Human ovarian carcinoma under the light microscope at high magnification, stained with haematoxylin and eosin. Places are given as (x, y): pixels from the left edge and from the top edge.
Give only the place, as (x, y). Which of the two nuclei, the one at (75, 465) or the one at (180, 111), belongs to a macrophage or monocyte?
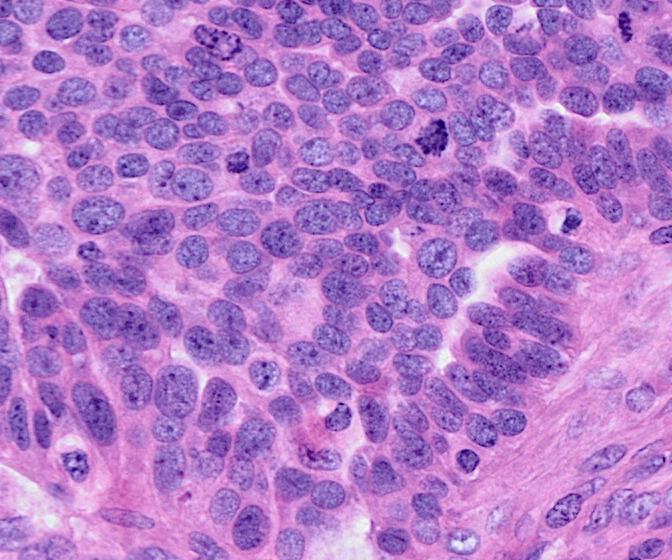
(75, 465)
